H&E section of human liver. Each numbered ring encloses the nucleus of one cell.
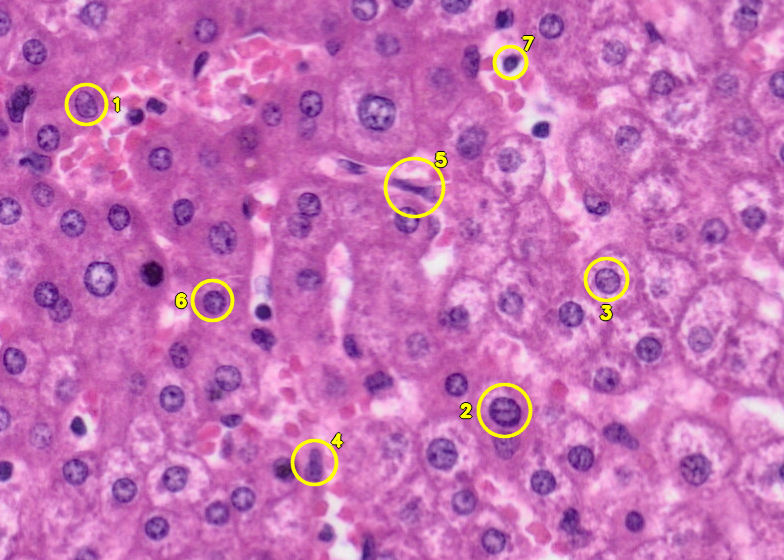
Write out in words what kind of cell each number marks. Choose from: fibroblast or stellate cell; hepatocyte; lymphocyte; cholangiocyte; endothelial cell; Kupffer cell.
Cell 1 is a hepatocyte, cell 2 is a hepatocyte, cell 3 is a hepatocyte, cell 4 is a Kupffer cell, cell 5 is a Kupffer cell, cell 6 is a hepatocyte and cell 7 is a lymphocyte.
